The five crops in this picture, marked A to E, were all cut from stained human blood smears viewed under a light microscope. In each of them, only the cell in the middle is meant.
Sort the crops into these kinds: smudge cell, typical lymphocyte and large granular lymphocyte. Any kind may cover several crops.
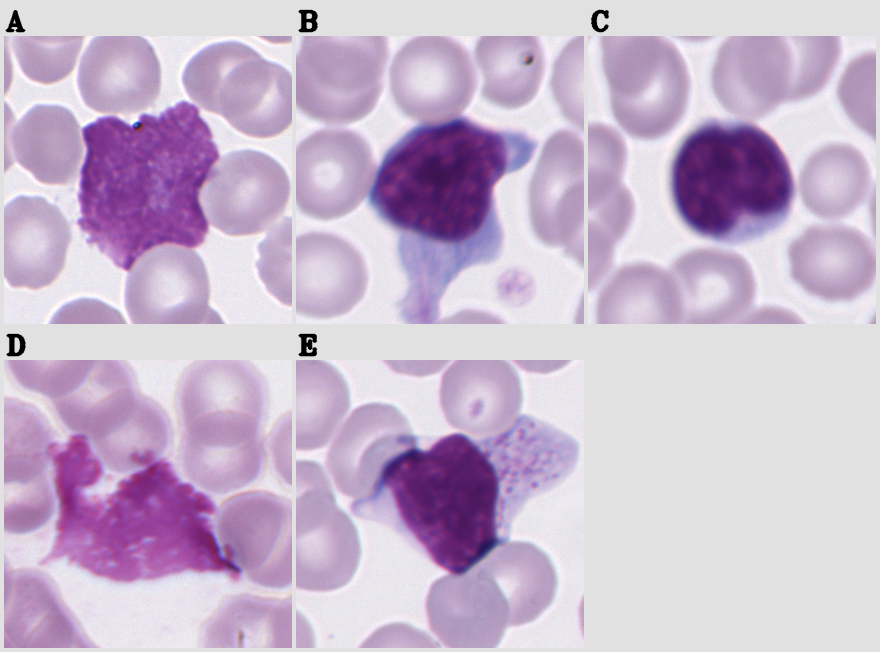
A: smudge cell
B: typical lymphocyte
C: typical lymphocyte
D: smudge cell
E: large granular lymphocyte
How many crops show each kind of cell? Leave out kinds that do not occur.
smudge cell: 2
typical lymphocyte: 2
large granular lymphocyte: 1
